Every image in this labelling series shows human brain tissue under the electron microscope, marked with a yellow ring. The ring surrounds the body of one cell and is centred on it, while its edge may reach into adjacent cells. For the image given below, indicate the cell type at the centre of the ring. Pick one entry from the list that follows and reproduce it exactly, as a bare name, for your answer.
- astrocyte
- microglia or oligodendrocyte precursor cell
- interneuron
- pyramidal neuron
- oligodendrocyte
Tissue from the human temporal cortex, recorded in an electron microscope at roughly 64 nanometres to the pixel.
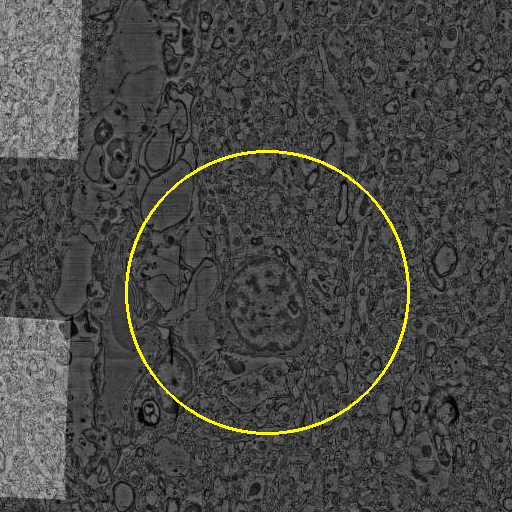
oligodendrocyte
